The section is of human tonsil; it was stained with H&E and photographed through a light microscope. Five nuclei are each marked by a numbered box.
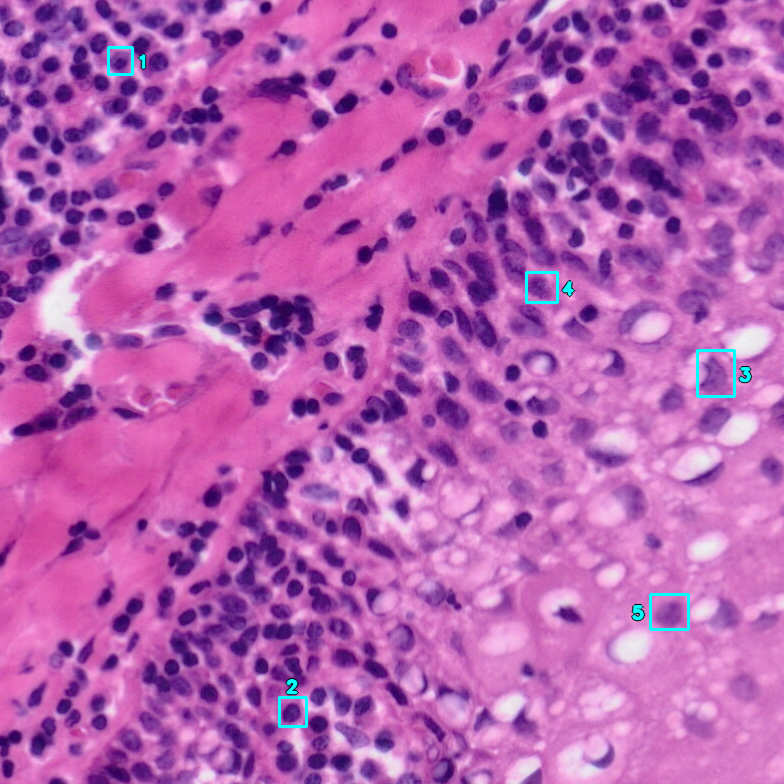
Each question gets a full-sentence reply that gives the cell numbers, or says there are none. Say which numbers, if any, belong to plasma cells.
The cells picked out by numbers 1 and 2 are plasma cells.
